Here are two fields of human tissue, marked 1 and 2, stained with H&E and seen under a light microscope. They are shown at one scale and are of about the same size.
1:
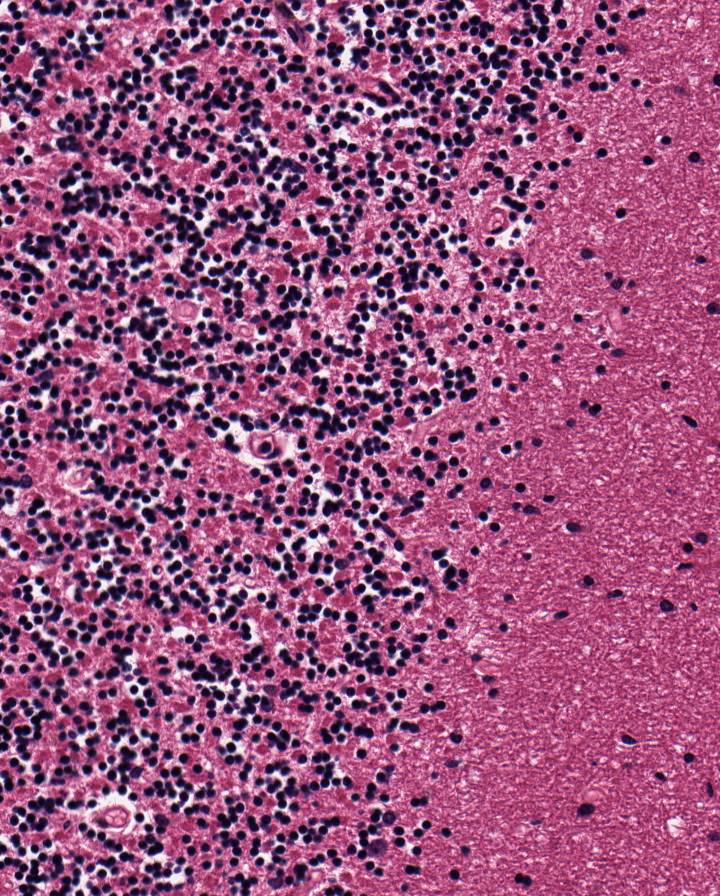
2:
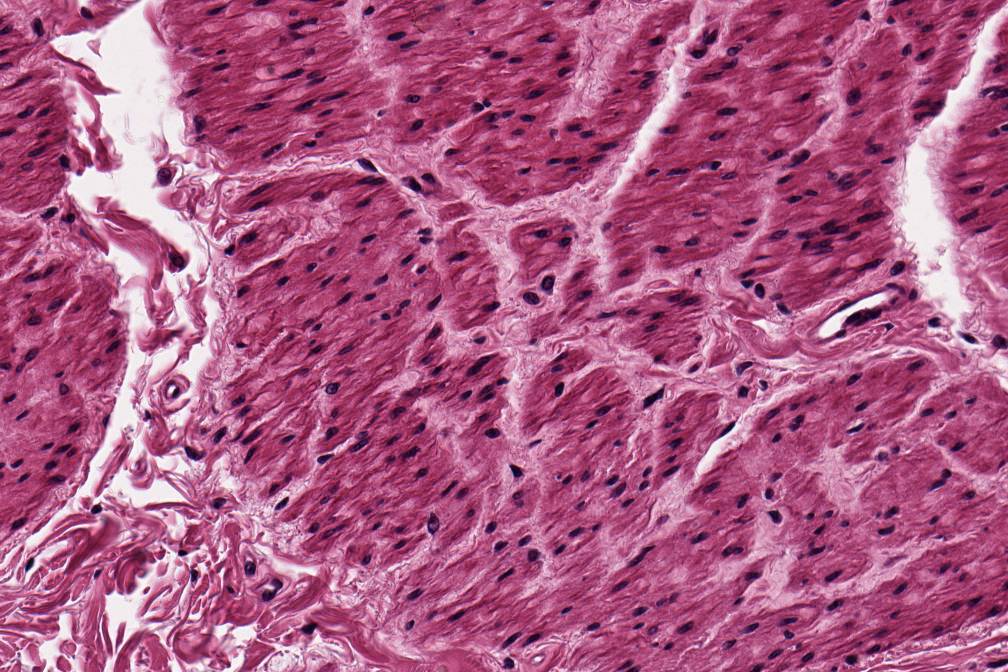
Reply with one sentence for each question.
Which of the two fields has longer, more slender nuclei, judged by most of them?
It is field 2 whose nuclei are the more elongated.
